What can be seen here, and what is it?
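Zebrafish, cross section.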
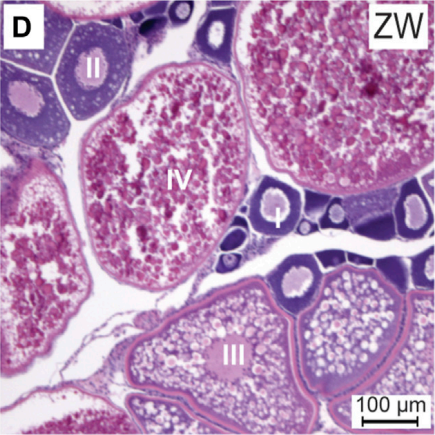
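This is a section of ovary with oocytes at several sizes and stages. The smallest oocytes are compact, with strongly purple cytoplasm and a large pale central nucleus. The largest oocytes are packed with pink to red granular material and are surrounded by a thin pink envelope. Small oocytes sit in the spaces between the large ones, with thin strands of connective tissue separating them.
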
